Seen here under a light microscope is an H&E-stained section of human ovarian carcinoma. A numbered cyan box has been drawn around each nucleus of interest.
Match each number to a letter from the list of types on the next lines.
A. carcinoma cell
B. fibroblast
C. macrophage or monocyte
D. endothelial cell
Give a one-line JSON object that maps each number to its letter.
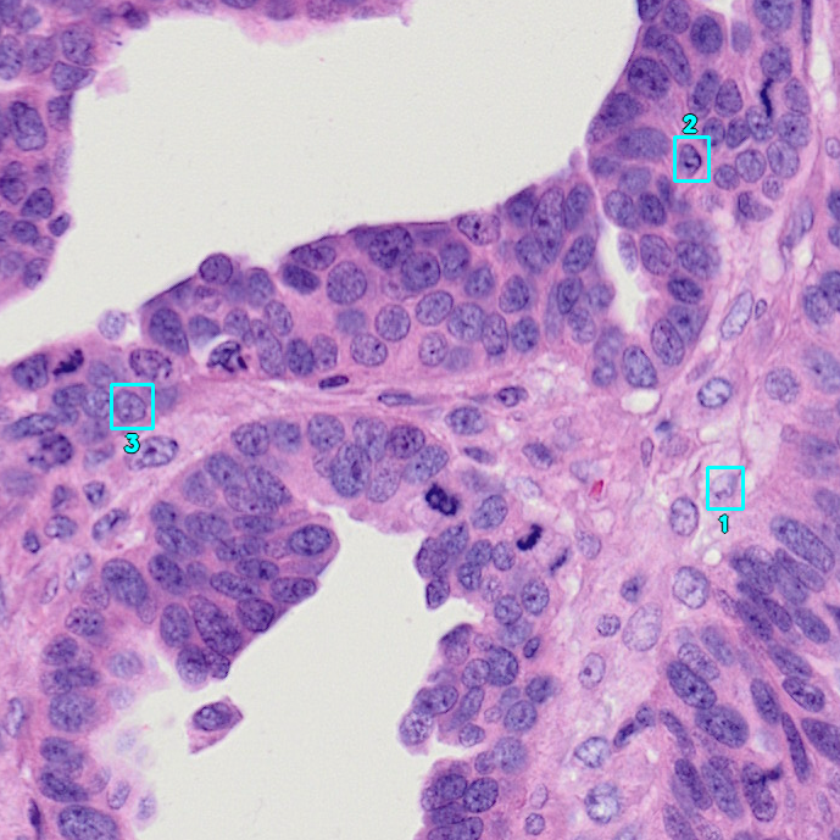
{"1": "B", "2": "C", "3": "A"}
